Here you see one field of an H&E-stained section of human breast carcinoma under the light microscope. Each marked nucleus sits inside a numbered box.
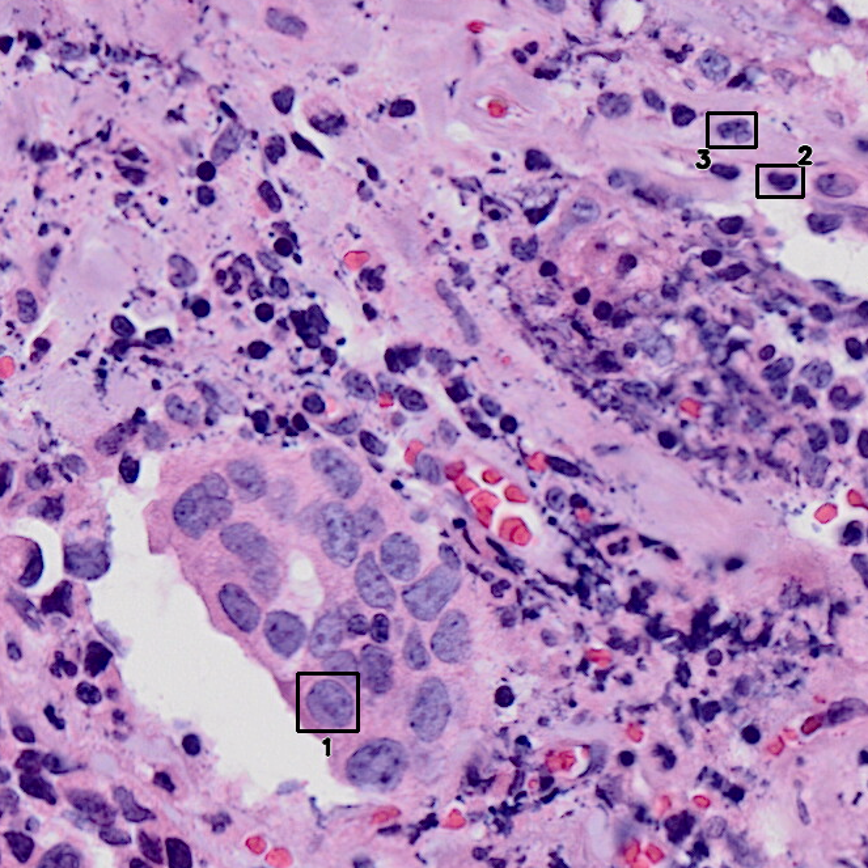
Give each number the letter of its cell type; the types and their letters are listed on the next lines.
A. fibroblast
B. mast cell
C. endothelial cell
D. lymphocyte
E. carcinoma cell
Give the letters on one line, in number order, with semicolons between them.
E; D; D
